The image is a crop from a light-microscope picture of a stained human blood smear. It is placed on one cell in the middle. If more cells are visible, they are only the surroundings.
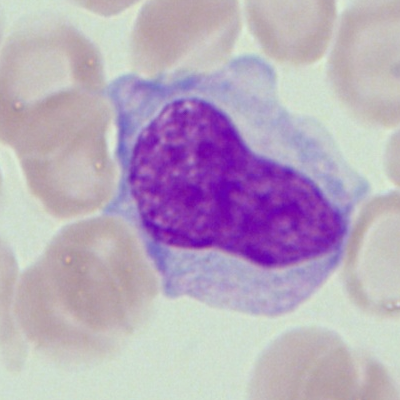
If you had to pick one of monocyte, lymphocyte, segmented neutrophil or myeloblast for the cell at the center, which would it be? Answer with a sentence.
Classified as a monocyte is the cell in the middle of this crop.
